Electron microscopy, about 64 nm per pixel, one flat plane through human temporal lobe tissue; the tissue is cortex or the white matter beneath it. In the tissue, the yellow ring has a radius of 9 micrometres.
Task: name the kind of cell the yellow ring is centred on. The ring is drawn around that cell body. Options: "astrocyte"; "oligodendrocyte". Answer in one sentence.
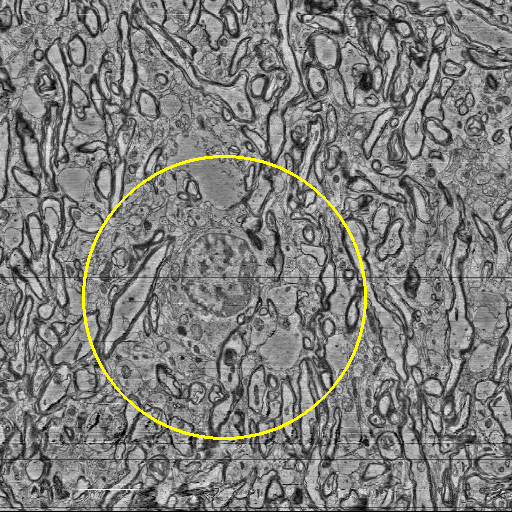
This cell body belongs to an oligodendrocyte.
